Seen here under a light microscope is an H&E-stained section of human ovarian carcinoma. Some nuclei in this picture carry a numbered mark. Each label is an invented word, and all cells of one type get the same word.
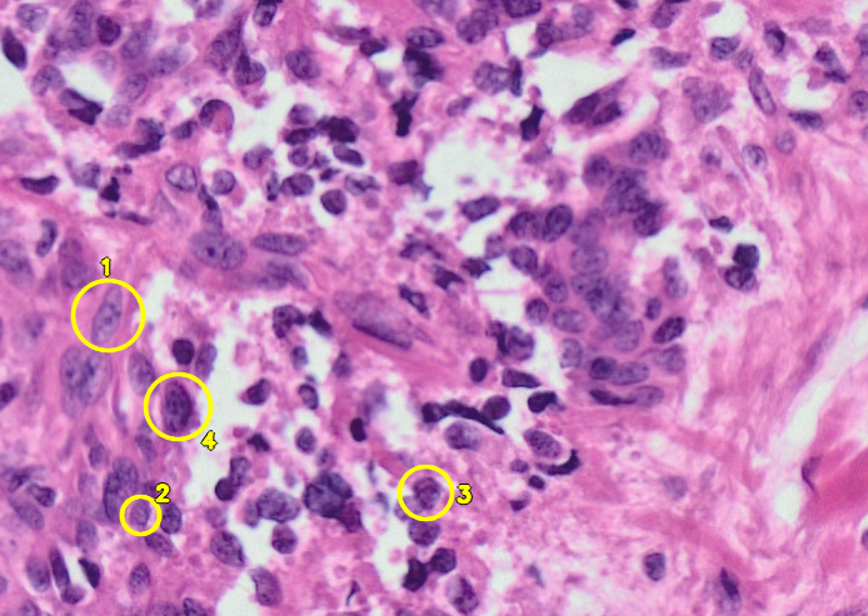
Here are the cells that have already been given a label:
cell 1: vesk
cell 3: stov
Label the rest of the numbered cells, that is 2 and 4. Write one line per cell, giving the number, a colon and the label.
2: stov
4: stov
